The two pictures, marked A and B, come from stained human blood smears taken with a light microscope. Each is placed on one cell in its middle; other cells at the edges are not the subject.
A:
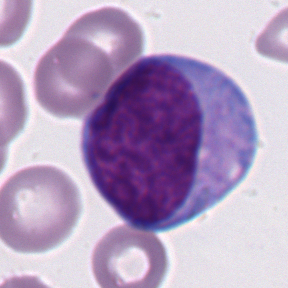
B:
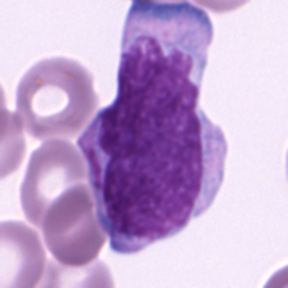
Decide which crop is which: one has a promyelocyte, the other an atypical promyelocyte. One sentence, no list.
What crop A shows is a promyelocyte, and what crop B shows is an atypical promyelocyte.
